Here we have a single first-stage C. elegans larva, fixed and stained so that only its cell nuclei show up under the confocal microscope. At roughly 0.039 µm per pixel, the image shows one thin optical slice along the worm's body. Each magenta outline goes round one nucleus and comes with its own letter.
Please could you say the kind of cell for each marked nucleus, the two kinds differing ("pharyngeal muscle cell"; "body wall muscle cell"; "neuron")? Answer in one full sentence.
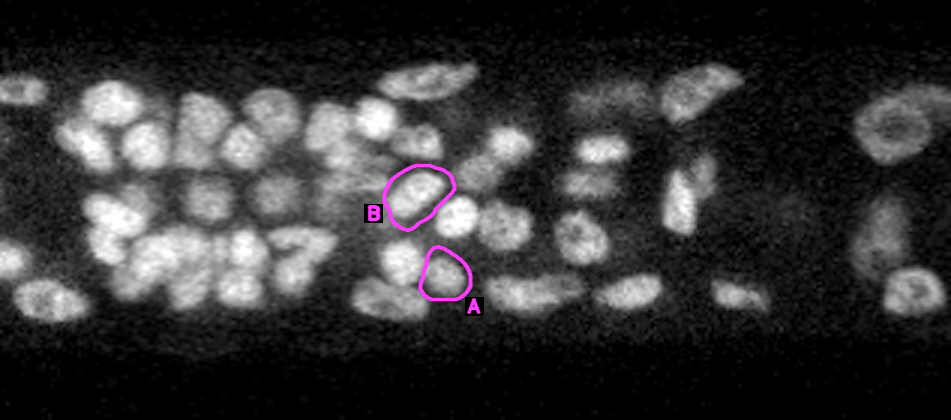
The nucleus A is that of a neuron, while B is that of a pharyngeal muscle cell.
